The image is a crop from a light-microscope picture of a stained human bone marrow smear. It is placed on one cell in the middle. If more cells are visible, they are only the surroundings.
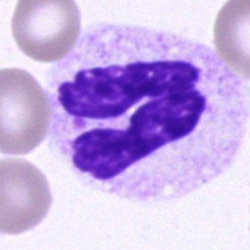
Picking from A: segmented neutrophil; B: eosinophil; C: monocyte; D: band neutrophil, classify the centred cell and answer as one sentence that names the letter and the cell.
Given that the cell in the middle is a segmented neutrophil, option A is correct.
